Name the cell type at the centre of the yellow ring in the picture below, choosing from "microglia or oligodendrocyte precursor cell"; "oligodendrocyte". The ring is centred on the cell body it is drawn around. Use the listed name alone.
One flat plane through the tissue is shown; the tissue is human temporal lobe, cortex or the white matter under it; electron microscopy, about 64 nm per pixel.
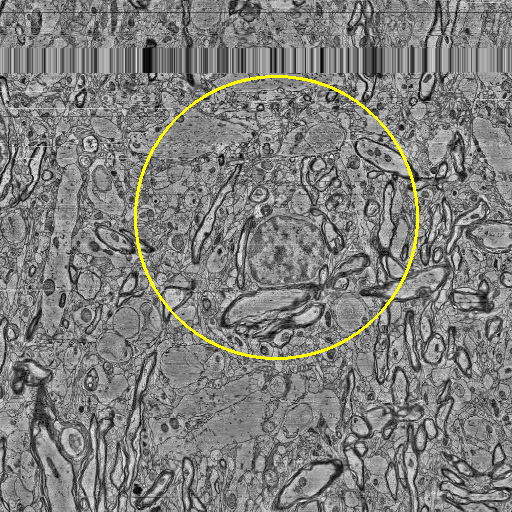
oligodendrocyte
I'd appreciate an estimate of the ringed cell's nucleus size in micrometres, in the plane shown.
In this plane, the nucleus measures approximately 5 micrometres across.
